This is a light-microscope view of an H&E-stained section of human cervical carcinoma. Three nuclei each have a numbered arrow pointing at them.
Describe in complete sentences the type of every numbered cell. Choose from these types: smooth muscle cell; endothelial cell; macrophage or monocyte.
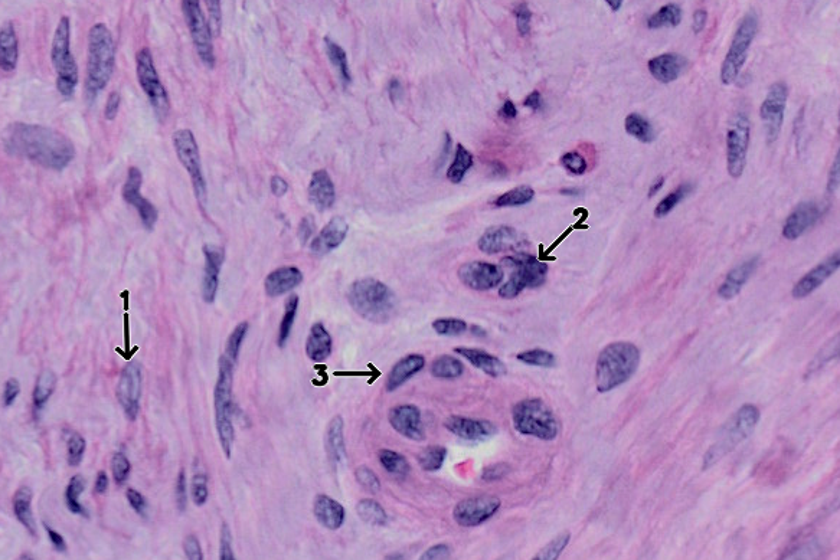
Cells 1 and 3 are smooth muscle cells. Cell 2 is an endothelial cell.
